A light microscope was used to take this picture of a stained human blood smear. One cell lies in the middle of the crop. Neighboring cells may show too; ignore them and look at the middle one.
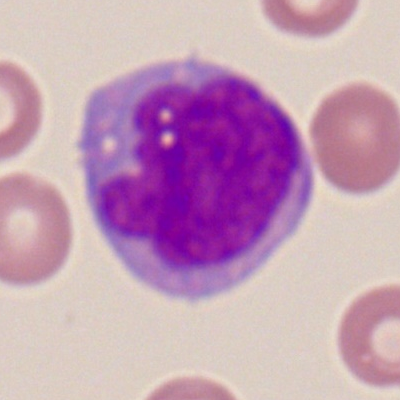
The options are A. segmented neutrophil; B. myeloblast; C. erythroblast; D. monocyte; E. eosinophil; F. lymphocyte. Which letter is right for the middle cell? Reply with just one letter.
D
